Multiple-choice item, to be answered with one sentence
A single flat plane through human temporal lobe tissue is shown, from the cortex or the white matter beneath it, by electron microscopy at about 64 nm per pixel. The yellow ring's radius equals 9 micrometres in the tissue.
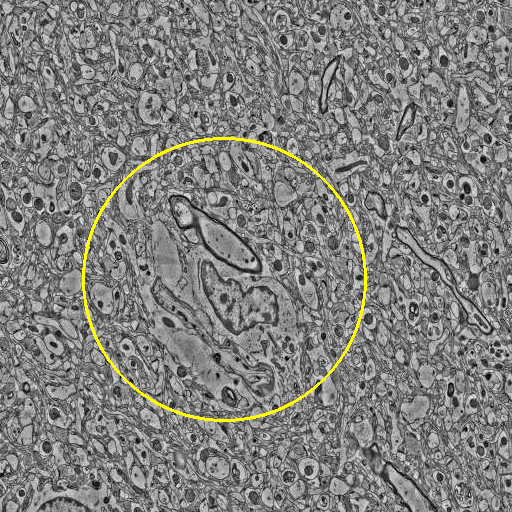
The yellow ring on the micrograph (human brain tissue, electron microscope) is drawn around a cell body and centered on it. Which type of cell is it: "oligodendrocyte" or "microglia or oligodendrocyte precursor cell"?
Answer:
The ring is centered on a microglial cell or oligodendrocyte precursor cell.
